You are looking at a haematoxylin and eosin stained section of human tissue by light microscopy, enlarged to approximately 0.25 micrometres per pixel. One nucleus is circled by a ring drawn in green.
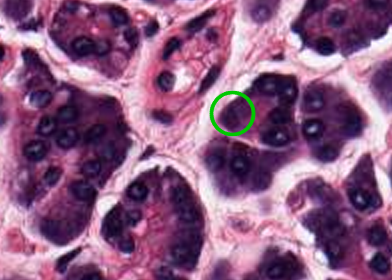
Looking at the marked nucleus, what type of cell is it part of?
pancreatic acinar cell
